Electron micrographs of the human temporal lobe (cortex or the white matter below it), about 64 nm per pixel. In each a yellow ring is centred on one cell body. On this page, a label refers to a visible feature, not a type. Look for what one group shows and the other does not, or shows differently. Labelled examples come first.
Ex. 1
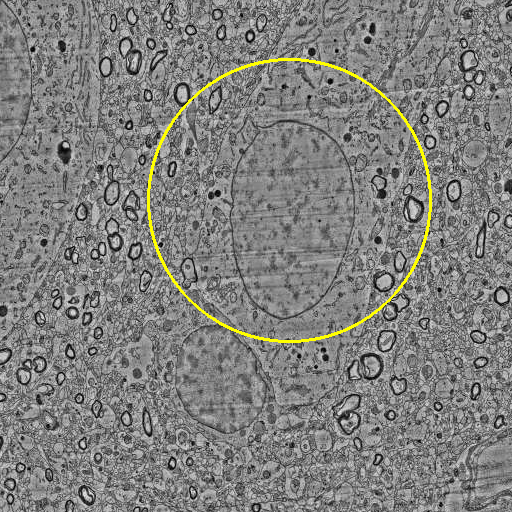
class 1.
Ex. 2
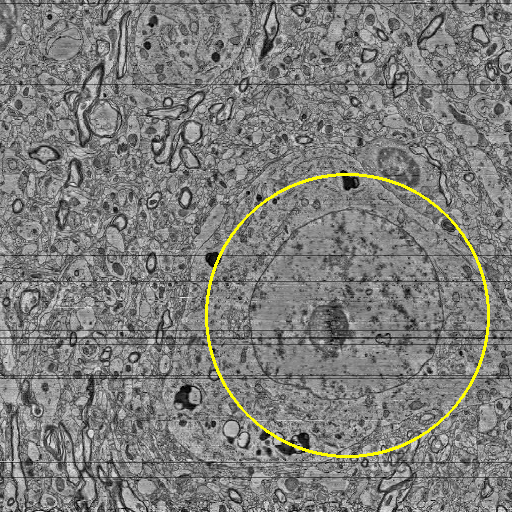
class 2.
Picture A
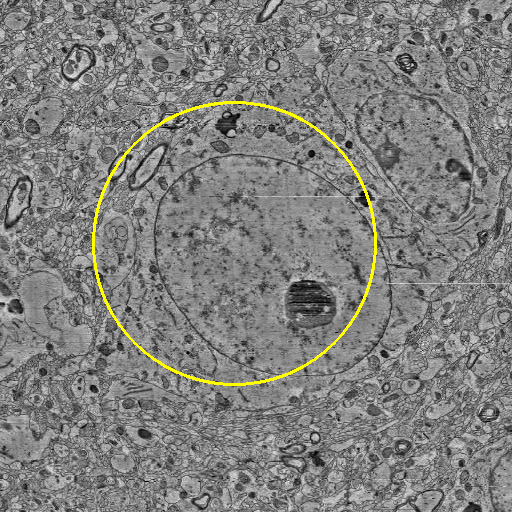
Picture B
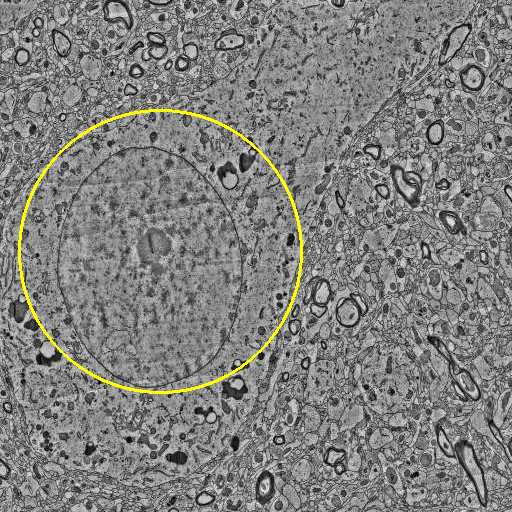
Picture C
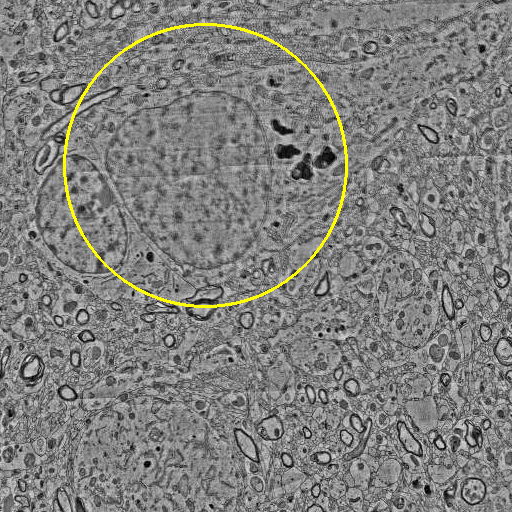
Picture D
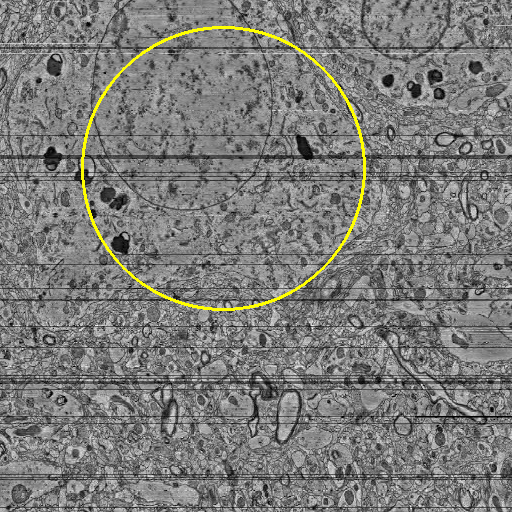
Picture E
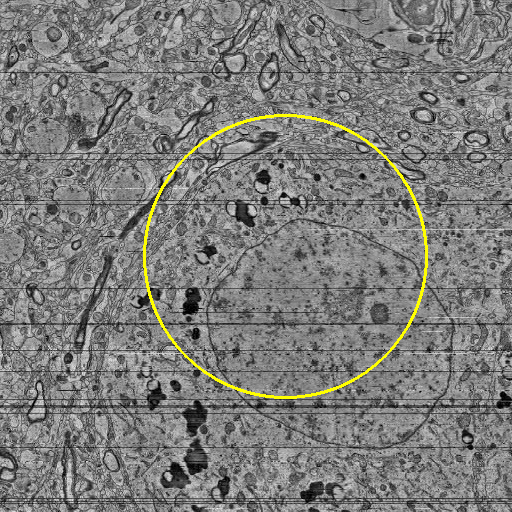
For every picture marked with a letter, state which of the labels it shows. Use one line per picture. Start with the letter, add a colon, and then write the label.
A: class 2.
B: class 2.
C: class 1.
D: class 1.
E: class 2.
